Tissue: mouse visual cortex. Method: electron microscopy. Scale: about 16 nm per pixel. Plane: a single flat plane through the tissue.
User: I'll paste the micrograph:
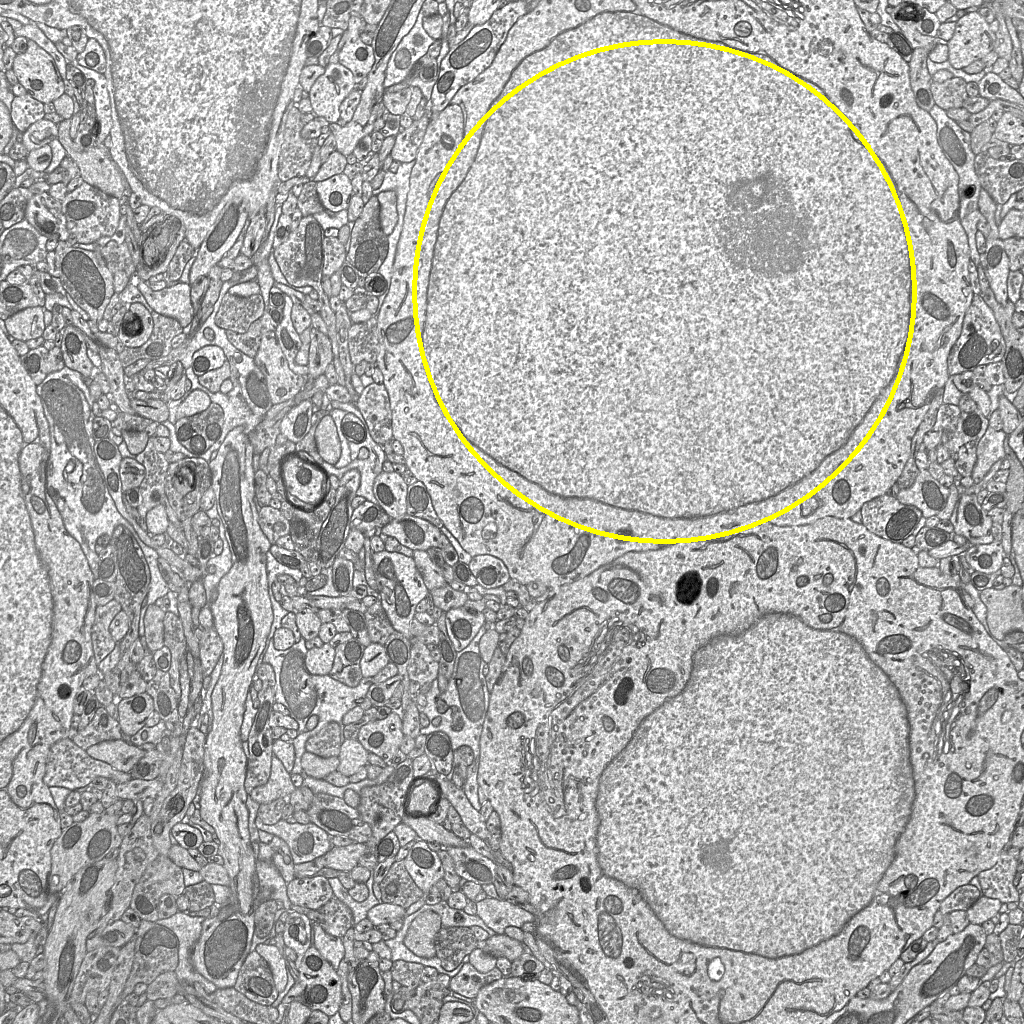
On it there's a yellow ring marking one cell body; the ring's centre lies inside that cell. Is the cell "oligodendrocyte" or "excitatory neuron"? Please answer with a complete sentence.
The cell at the centre of the yellow ring is an excitatory neuron.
